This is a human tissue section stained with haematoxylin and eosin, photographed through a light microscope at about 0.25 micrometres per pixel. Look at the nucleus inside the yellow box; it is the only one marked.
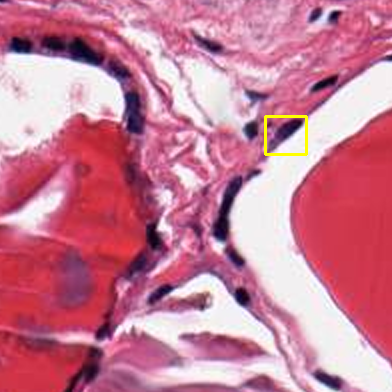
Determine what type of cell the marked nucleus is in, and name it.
thyroid follicular cell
